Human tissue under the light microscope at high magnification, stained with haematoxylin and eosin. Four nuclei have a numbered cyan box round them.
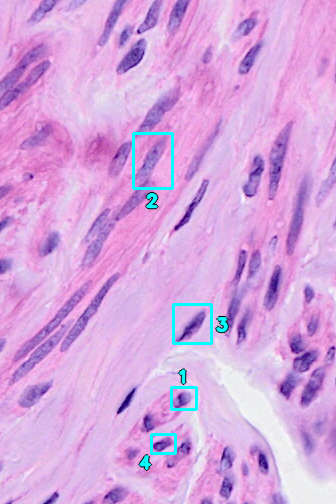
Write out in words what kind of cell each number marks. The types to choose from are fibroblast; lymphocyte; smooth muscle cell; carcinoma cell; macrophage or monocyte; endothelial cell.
Cells 1, 2 and 4 are smooth muscle cells. Cell 3 is a fibroblast.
